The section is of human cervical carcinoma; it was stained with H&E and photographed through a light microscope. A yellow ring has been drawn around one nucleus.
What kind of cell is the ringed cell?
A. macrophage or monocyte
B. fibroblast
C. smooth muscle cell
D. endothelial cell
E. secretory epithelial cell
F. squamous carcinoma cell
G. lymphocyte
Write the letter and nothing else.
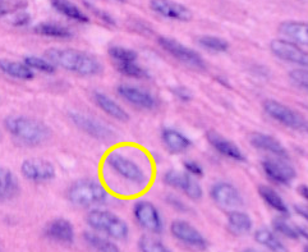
F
